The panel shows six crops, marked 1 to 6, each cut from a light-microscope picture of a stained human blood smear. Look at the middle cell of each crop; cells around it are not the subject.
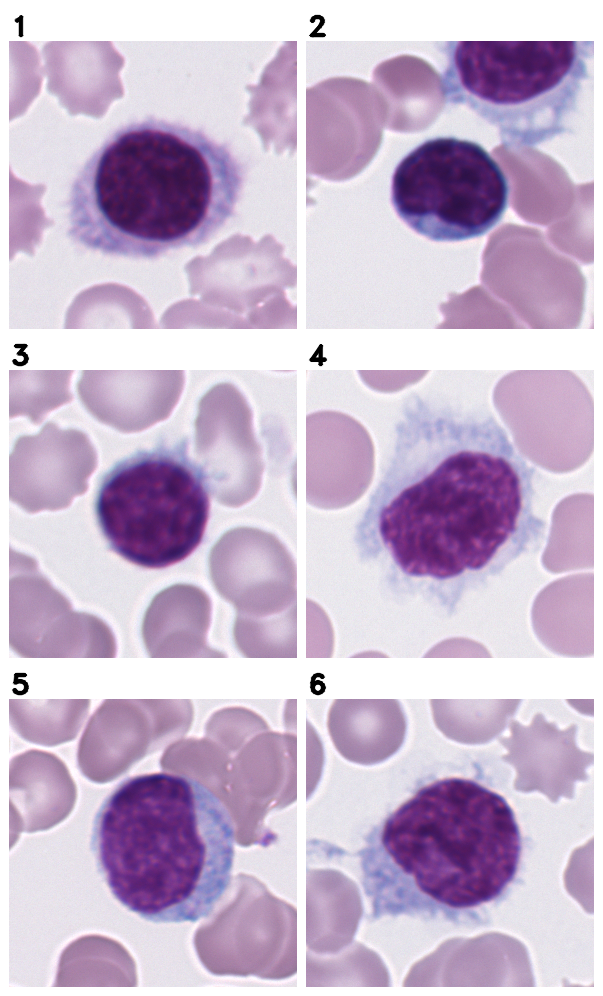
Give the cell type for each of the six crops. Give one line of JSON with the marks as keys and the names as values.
{"1": "hairy cell", "2": "typical lymphocyte", "3": "hairy cell", "4": "hairy cell", "5": "typical lymphocyte", "6": "hairy cell"}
